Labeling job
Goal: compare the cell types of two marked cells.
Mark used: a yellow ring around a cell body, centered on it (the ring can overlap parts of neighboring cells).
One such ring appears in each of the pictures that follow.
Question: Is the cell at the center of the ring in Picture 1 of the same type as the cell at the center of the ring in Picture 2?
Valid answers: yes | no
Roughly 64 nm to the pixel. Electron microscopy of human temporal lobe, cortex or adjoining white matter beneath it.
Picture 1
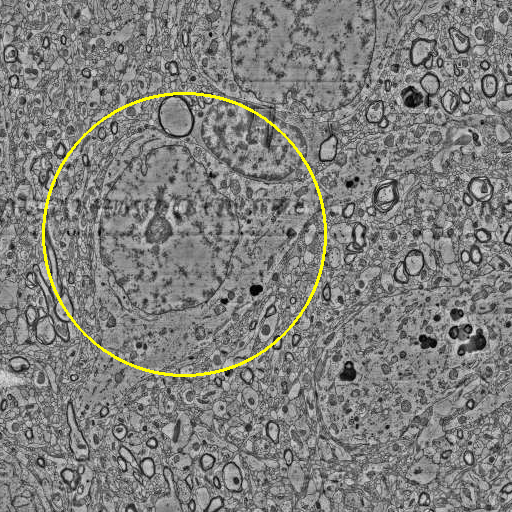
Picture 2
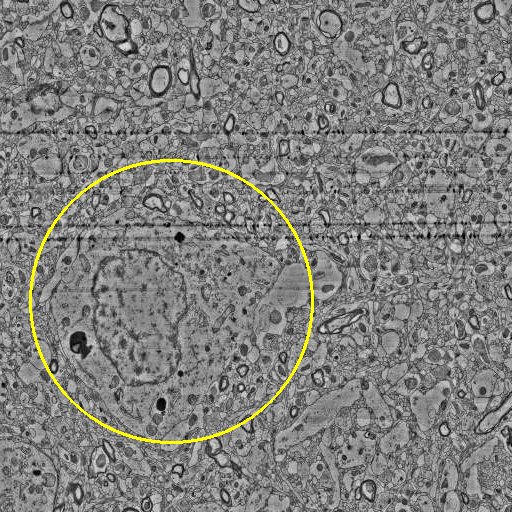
yes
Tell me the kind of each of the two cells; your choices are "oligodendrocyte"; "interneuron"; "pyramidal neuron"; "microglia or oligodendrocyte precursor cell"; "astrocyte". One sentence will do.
Both the first and the second picture show a pyramidal neuron in the ring.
